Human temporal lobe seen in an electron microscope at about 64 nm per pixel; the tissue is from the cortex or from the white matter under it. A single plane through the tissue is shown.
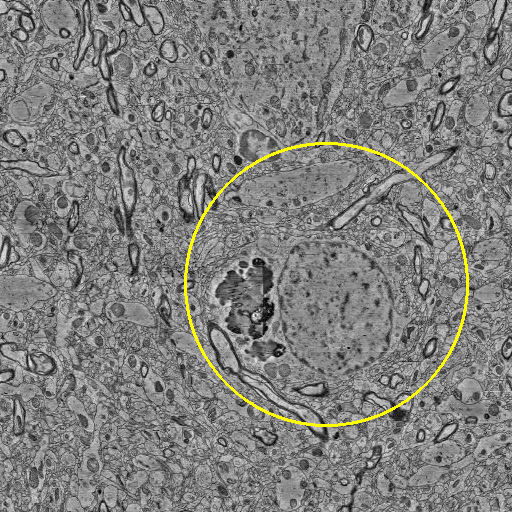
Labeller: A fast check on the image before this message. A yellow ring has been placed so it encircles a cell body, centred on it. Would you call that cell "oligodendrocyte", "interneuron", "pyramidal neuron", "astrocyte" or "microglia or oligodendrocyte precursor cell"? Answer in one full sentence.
In this image, an astrocyte is the cell on which the yellow ring is centred.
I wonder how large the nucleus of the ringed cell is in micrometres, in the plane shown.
The ringed cell's nucleus is about 8 micrometres across in this plane.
